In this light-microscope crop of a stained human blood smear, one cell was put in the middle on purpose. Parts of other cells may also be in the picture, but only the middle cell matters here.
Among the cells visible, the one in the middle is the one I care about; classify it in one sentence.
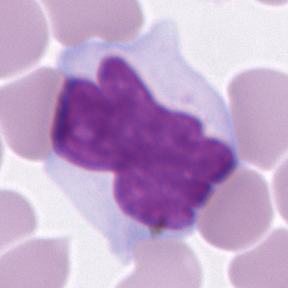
In the center of this field lies a monocyte.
